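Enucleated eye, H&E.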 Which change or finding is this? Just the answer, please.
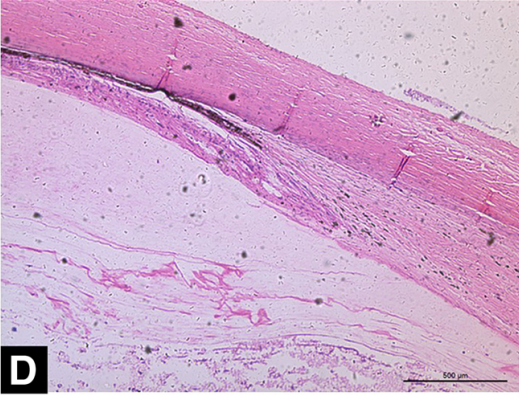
severe atrophy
